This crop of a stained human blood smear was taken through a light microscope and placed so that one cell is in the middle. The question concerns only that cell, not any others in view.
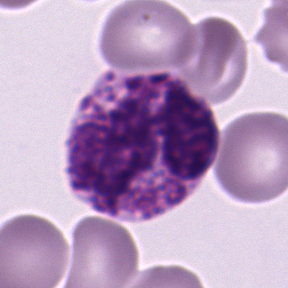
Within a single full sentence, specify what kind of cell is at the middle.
This crop's central cell is a basophil.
